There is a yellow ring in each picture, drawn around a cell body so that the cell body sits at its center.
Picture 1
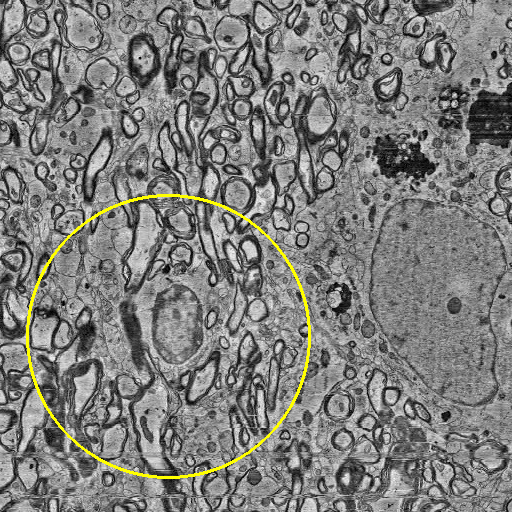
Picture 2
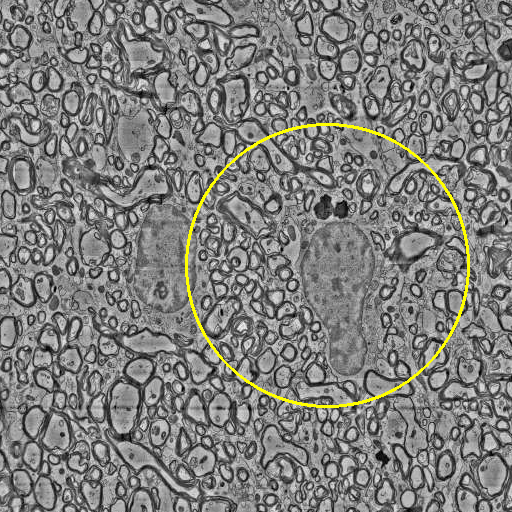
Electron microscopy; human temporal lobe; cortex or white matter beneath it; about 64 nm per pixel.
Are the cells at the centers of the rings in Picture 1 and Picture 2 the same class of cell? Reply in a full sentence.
No, the two cells are two classes of cell.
